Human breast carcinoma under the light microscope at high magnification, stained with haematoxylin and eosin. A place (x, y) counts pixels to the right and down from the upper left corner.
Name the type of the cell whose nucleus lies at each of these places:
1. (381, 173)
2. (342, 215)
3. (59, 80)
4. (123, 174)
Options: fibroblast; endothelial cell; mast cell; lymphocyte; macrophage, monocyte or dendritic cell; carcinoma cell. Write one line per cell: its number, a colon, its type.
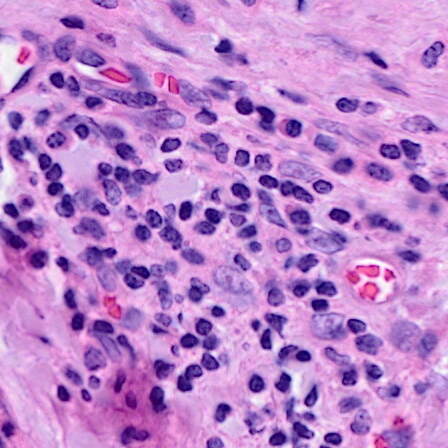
1: mast cell
2: lymphocyte
3: lymphocyte
4: lymphocyte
